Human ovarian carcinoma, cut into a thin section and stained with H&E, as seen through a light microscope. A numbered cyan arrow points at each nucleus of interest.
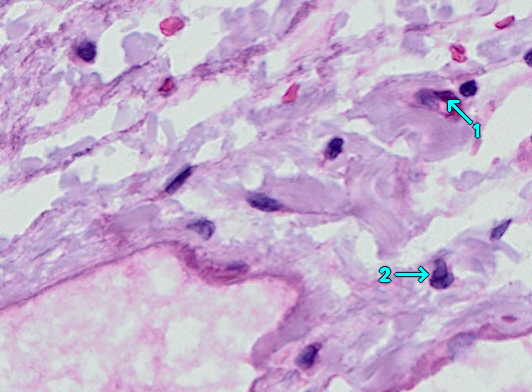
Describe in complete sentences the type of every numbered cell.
Cell 1 is an endothelial cell and cell 2 is a macrophage or monocyte.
